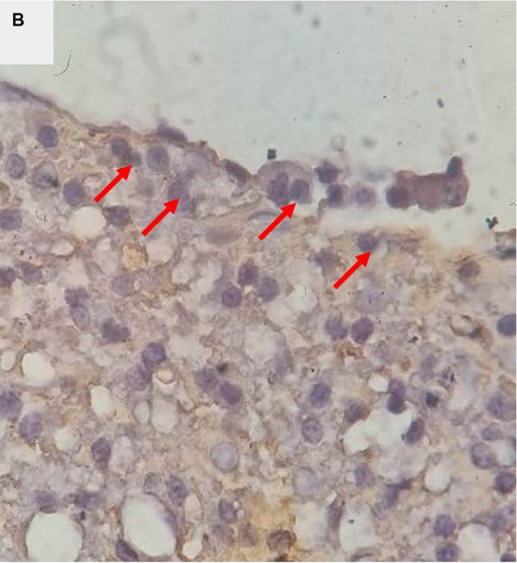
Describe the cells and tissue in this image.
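The cells near the free edge are plump, with rounded nuclei and pale cytoplasm, and some bulge out from the margin. Light brown staining lies around the cells and in the spaces between them. The tissue is dotted with clear round vacuoles of varying size.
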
